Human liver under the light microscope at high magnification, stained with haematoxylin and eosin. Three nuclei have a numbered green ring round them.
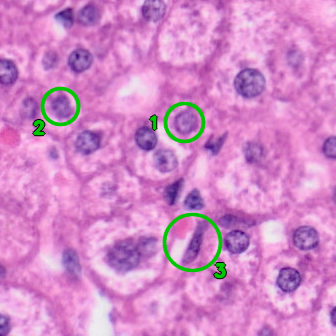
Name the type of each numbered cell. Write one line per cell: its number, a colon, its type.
1: hepatocyte
2: hepatocyte
3: Kupffer cell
